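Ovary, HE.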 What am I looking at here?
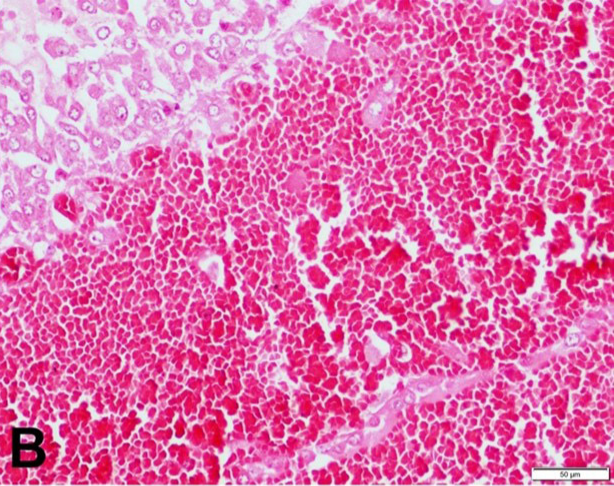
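Most of this field is a dense sheet of small, closely packed, bright red, anucleate disc-shaped cells, red blood cells, lying free between thin pale pink strands of connective tissue rather than confined within vessel walls. At the upper left the ovarian tissue itself remains: polygonal cells with round, centrally placed nuclei and pale pink cytoplasm, arranged in loose groups. The red cells press up against and spill between these tissue cells.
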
